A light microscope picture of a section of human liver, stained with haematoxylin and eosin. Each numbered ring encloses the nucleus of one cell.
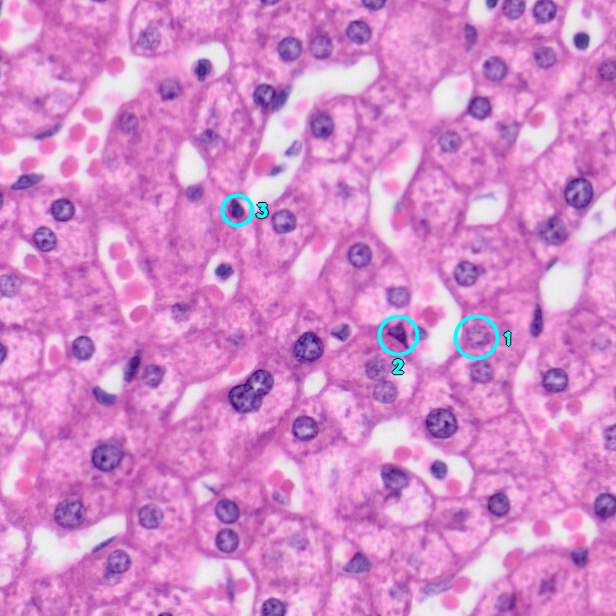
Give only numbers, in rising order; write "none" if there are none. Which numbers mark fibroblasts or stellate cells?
2, 3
